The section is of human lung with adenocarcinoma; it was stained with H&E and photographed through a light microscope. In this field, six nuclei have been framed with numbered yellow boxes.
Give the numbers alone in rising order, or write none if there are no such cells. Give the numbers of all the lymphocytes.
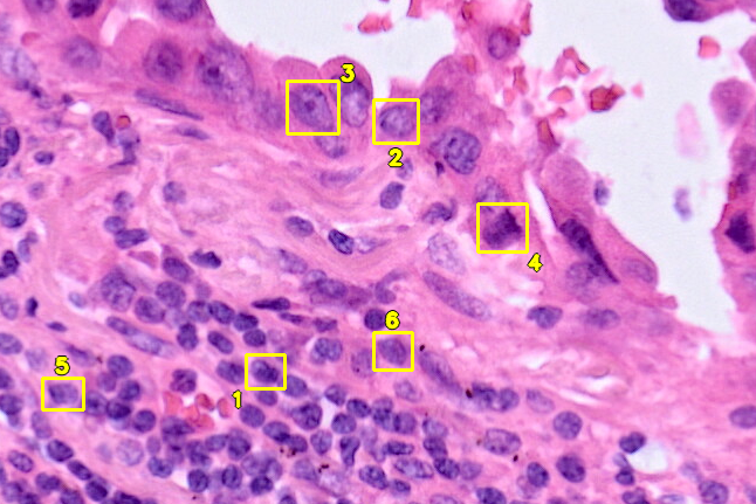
1, 5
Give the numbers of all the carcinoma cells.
2, 3, 4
